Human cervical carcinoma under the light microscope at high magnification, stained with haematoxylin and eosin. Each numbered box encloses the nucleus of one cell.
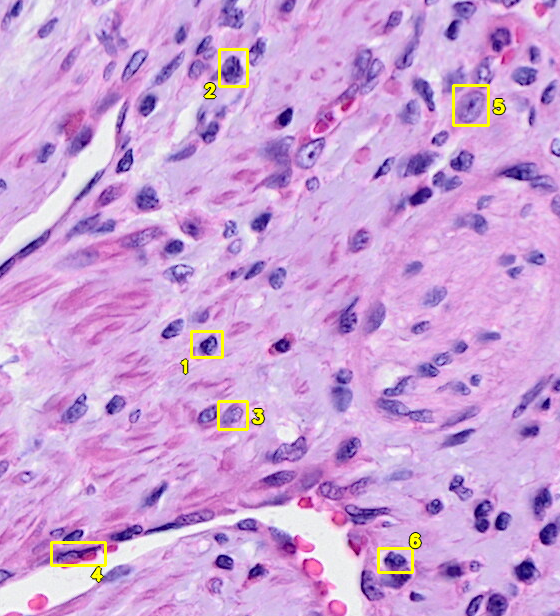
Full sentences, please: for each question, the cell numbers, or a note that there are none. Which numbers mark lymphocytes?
The cells numbered 1, 2 and 6 are identified as lymphocytes.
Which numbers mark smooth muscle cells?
Only the cell numbered 3 qualifies as a smooth muscle cell among the marked cells.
